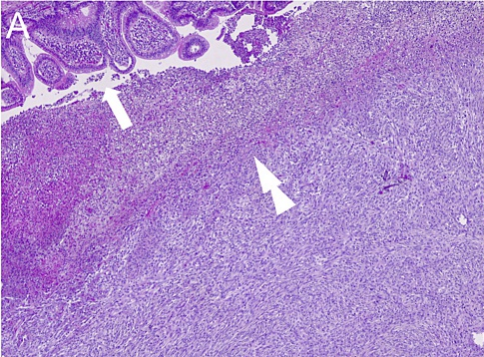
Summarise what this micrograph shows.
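Here the intestinal wall is involved by a sheet of densely cellular spindle-cell tumor, which fills most of the field. In the upper left corner, mucosa with glands borders the intestinal lumen. Where the tumor reaches the surface, a pinker band of disrupted tissue marks ulceration.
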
